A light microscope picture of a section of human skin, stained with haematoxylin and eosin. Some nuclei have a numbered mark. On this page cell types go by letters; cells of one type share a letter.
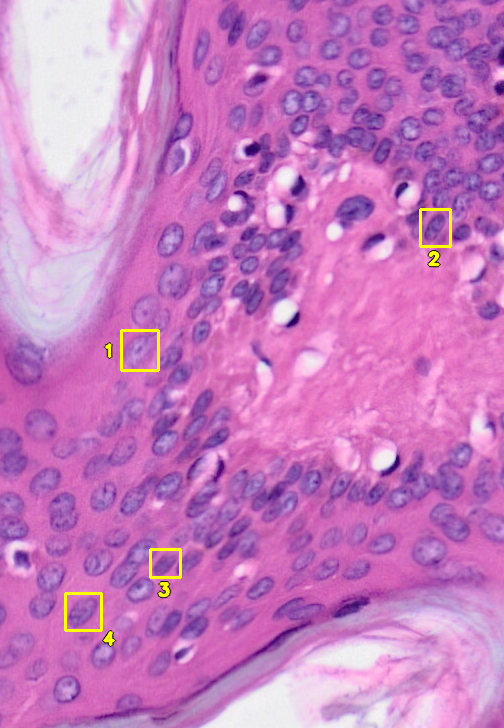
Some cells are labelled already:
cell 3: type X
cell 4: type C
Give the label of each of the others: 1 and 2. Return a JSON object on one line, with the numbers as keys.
{"1": "type C", "2": "type X"}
